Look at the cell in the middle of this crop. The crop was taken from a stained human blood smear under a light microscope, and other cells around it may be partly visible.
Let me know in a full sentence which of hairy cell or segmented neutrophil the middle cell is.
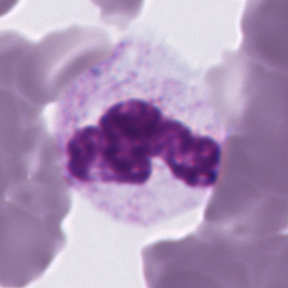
The cell centred in this crop is categorized as a segmented neutrophil.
